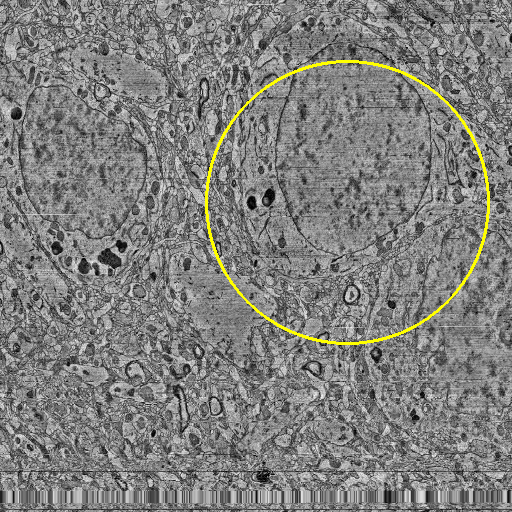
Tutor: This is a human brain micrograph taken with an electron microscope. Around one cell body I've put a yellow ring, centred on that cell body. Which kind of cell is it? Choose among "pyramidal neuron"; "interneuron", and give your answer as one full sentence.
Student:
Going by your list, the cell centred in the yellow ring is a pyramidal neuron.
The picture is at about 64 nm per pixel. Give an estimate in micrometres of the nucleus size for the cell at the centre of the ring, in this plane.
About 14 micrometres by about 10 micrometres in this plane.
